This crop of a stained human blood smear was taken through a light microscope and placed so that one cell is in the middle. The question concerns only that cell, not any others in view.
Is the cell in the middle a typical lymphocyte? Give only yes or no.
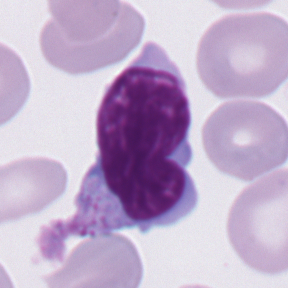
no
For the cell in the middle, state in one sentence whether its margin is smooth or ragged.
The perimeter of the cell is irregular, with ragged sections or outward projections.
